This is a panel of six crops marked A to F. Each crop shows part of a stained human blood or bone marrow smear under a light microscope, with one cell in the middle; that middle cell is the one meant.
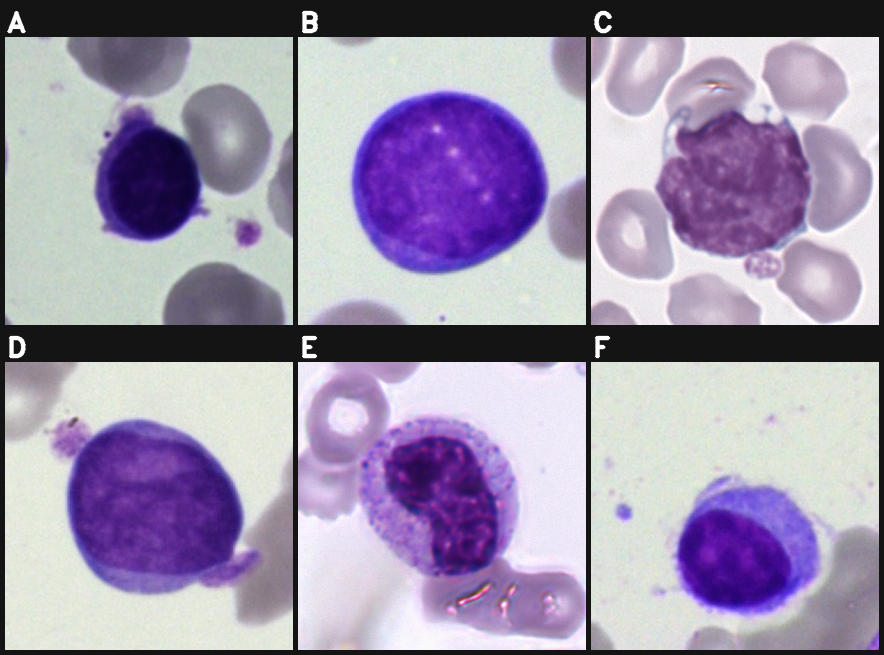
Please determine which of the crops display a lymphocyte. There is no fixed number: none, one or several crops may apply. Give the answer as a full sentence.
In the centres of crops A and F lie lymphocytes.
